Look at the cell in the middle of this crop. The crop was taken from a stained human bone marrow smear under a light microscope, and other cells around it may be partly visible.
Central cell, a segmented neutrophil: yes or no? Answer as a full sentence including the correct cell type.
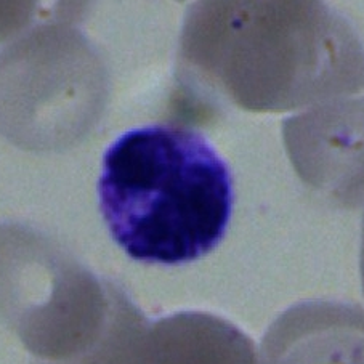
Yes, the cell at the centre is designated a segmented neutrophil.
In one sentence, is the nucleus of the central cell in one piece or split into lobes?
One compact mass makes up the whole nucleus, round, oval or kidney-shaped.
